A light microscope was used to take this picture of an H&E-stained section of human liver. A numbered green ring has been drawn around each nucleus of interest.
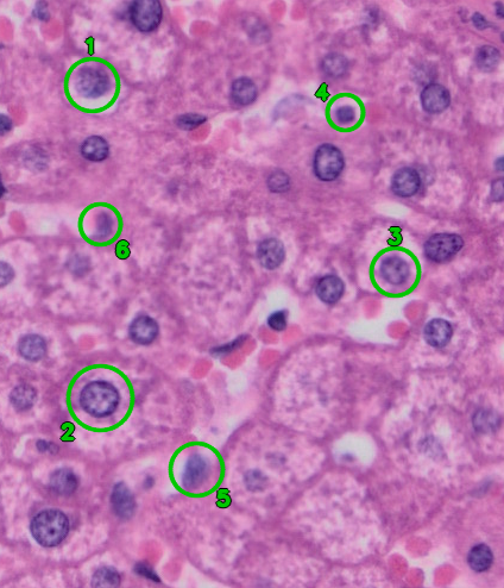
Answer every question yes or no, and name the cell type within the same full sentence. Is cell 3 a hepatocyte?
Yes, number 3 marks a cell that is a hepatocyte.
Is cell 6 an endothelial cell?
Yes, regarding number 6, the cell is an endothelial cell.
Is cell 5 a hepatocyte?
No, cell 5 is not a hepatocyte at all but an endothelial cell.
